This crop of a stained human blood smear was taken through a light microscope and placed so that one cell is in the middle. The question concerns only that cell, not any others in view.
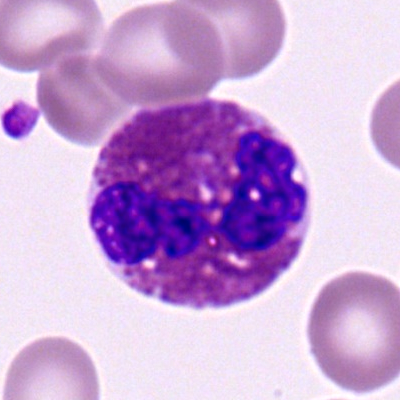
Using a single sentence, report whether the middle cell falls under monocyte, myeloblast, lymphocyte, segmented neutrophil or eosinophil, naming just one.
Here the cell in the middle is an eosinophil.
